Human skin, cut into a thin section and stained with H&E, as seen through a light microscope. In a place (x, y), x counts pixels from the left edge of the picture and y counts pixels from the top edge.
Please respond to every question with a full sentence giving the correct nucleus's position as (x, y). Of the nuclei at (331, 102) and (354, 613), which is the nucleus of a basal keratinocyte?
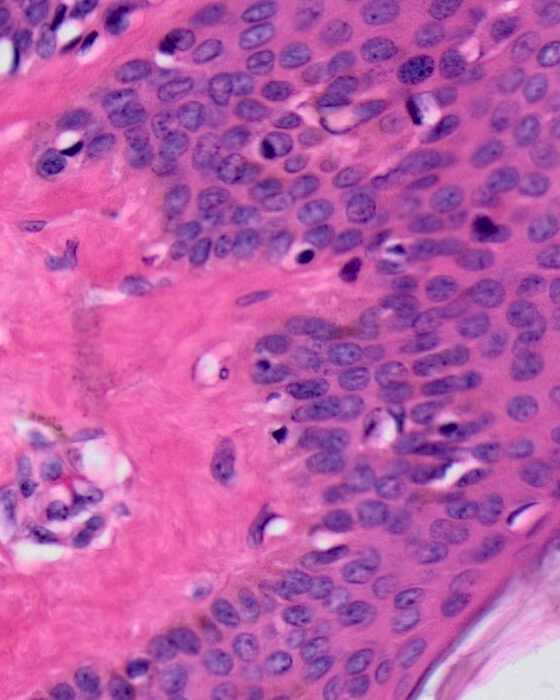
Of the two, the nucleus lying at (331, 102) is the one belonging to a basal keratinocyte.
